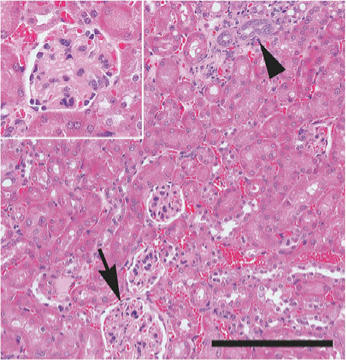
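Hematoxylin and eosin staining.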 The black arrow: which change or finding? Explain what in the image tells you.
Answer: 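The marked glomerulus is pale with glassy pink material in its tuft. Fewer dark nuclei fill the tuft than in a compact normal glomerulus. That points to this answer: Glomerulopathy.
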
